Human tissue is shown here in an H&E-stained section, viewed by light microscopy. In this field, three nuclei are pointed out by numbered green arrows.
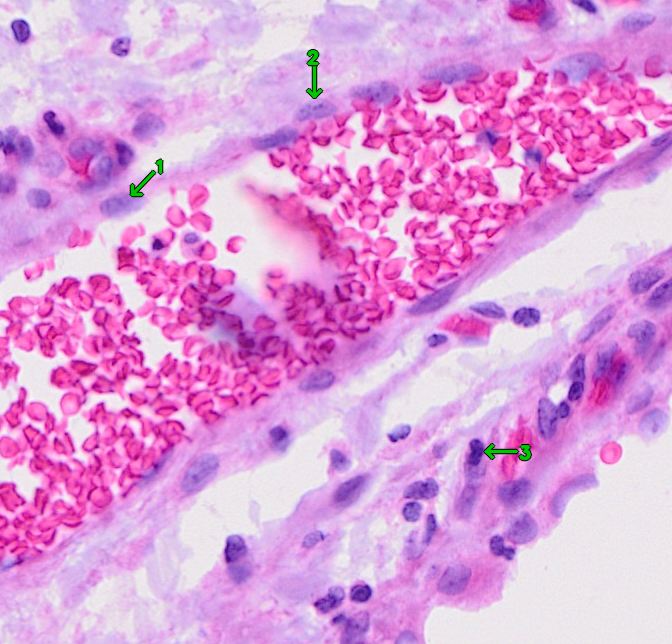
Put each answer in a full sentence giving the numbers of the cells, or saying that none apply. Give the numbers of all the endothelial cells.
On this slide, the cells numbered 1 and 2 are endothelial cells.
